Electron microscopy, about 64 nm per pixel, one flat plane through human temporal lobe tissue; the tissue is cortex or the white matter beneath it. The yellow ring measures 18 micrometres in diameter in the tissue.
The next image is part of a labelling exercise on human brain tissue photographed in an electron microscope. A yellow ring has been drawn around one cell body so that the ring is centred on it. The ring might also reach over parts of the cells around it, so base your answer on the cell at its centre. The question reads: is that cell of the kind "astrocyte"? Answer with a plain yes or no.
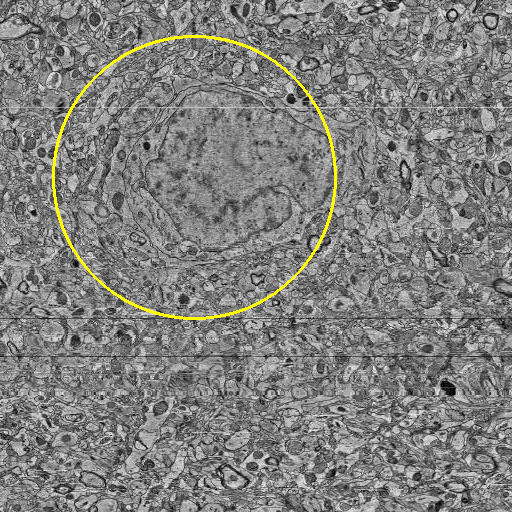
no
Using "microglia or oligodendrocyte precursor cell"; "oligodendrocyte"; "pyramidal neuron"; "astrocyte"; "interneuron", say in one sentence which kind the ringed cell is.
Here, the ring is centred on an interneuron instead.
